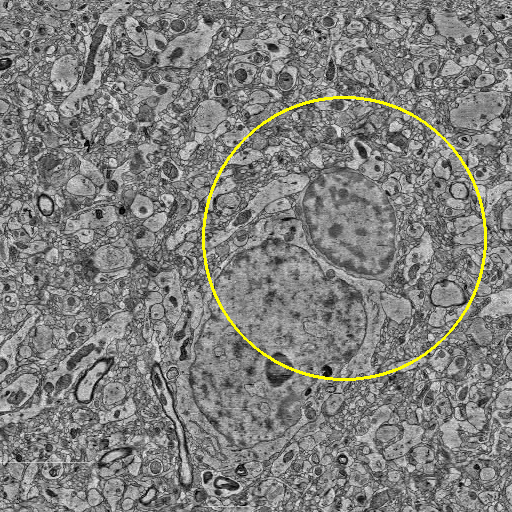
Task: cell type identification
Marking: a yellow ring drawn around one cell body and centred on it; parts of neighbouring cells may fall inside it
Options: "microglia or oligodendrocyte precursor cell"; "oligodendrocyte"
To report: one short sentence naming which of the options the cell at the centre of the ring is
The cell at the centre of the ring is an oligodendrocyte.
